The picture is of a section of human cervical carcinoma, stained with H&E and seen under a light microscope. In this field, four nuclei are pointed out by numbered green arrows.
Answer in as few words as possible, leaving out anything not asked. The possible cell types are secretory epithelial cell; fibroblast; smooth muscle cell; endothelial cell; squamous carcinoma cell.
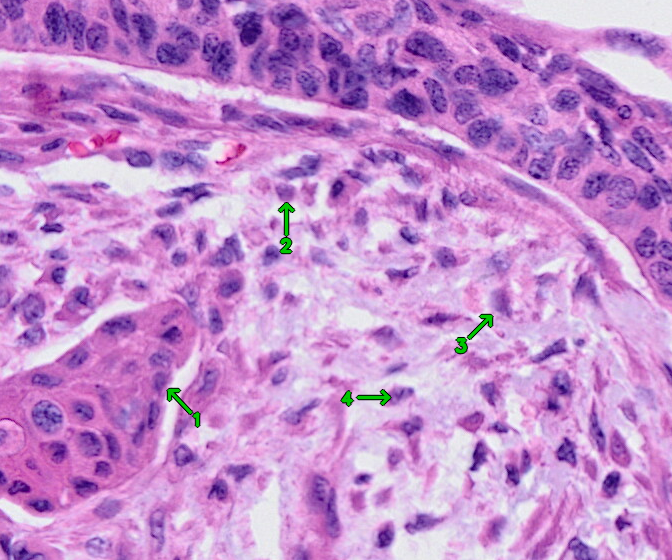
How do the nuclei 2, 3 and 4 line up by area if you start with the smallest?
2, 4, 3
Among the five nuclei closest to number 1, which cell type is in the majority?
squamous carcinoma cell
